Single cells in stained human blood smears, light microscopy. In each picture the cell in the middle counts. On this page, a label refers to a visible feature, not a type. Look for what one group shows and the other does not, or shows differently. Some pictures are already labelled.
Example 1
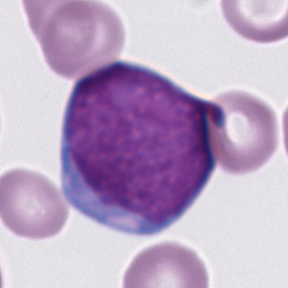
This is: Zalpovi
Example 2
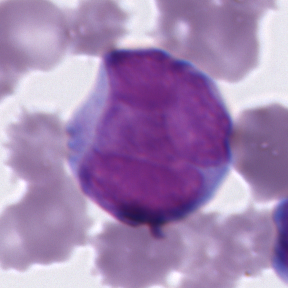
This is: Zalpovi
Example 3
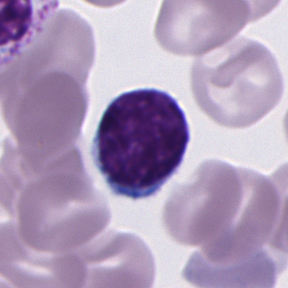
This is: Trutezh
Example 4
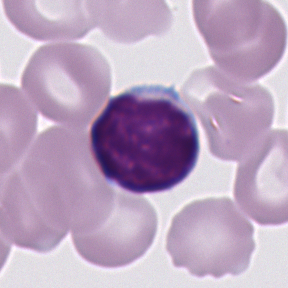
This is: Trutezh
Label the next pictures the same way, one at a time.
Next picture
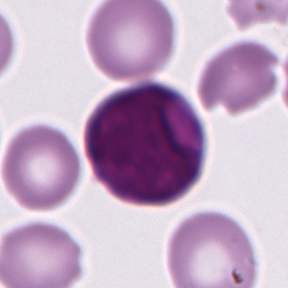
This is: Trutezh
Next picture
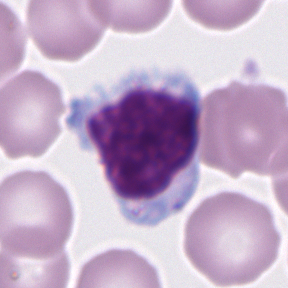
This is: Zalpovi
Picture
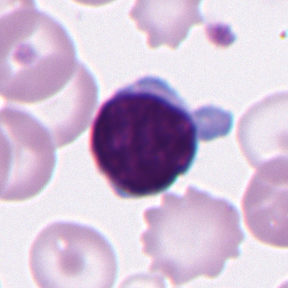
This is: Zalpovi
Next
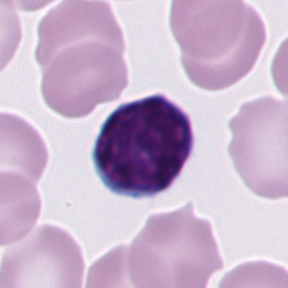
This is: Trutezh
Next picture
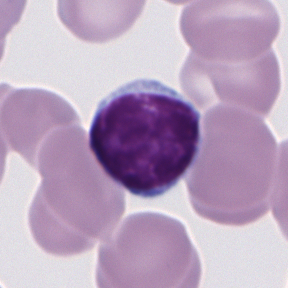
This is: Trutezh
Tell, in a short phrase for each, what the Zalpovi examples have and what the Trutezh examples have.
Zalpovi, ragged outline or projections; Trutezh, smooth outline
